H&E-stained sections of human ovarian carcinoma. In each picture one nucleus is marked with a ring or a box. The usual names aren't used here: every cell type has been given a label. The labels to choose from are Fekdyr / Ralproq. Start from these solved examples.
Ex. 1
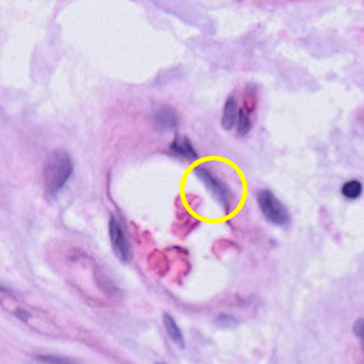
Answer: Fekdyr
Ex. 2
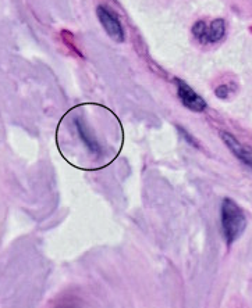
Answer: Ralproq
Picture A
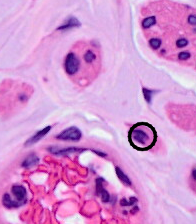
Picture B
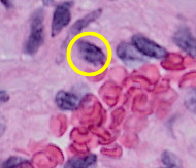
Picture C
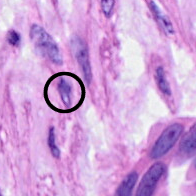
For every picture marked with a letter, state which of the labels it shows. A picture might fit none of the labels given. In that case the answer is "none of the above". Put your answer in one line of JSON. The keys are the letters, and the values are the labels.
{"A": "none of the above", "B": "Fekdyr", "C": "Ralproq"}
